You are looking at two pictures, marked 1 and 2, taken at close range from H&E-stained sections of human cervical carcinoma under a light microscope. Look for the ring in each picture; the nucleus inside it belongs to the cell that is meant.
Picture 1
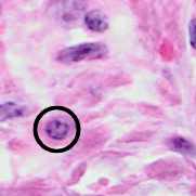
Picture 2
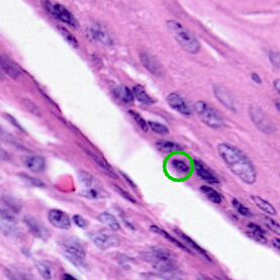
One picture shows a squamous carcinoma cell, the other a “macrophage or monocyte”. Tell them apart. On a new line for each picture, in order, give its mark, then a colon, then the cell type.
1: macrophage or monocyte
2: squamous carcinoma cell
